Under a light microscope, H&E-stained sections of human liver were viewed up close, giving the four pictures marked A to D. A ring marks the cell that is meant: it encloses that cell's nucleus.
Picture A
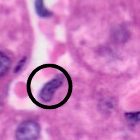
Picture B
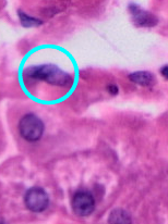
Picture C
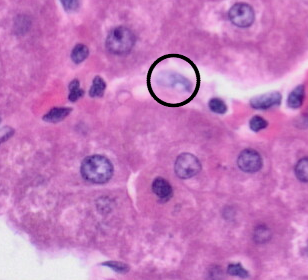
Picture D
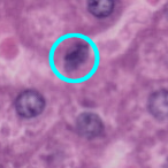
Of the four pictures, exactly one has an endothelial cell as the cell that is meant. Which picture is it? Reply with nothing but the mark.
D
